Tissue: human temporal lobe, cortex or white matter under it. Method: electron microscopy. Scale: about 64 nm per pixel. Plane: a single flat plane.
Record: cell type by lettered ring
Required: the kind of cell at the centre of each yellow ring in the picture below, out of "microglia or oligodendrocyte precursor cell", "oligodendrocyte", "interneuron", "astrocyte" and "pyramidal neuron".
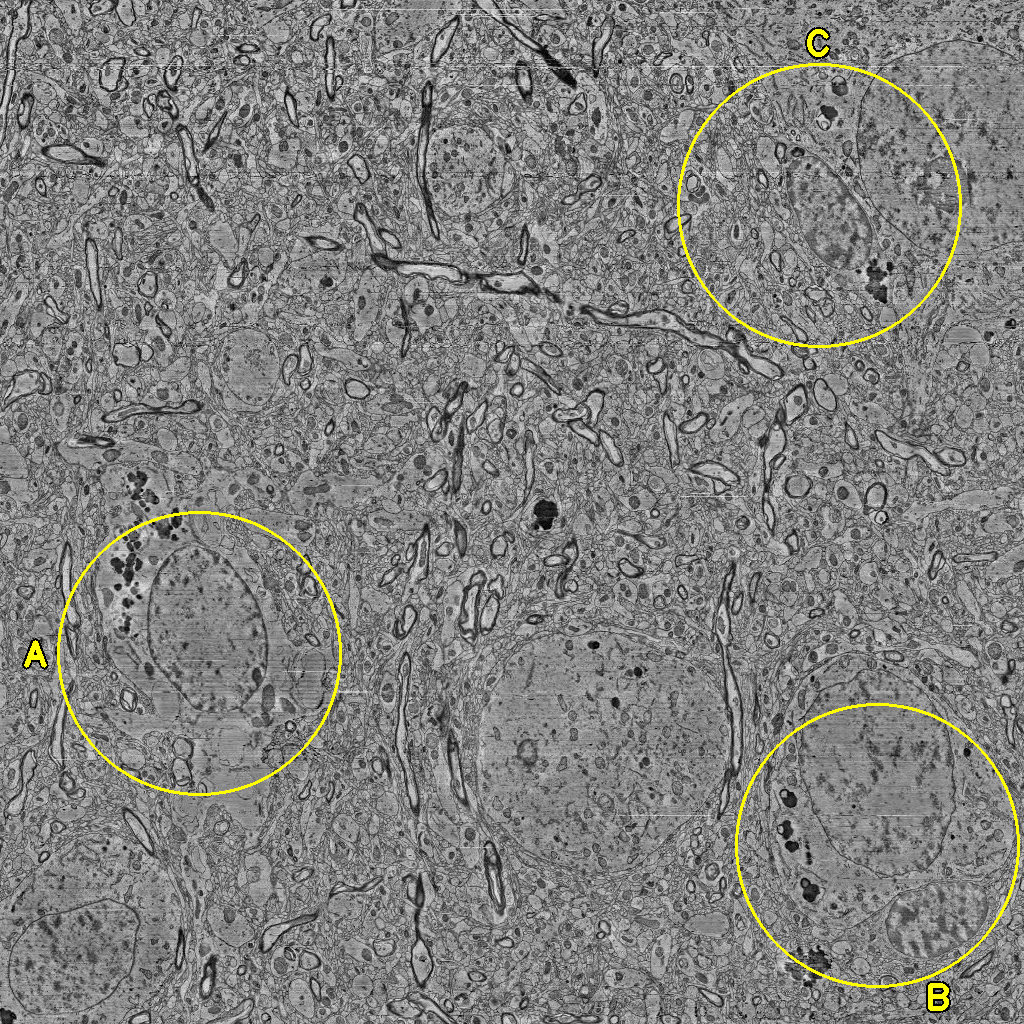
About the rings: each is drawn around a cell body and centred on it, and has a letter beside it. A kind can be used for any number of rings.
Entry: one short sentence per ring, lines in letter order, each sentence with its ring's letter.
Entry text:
At ring A we have an astrocyte.
At ring B we have a pyramidal neuron.
At ring C we have an oligodendrocyte.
